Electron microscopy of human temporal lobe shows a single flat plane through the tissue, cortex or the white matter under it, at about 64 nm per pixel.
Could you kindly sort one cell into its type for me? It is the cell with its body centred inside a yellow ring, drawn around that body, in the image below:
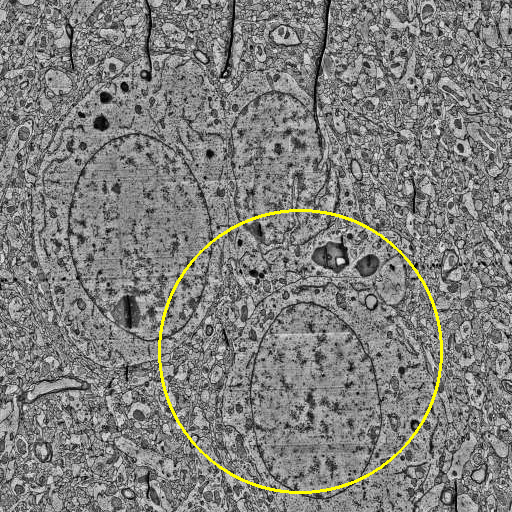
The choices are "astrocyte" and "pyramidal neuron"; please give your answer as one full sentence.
The cell whose body lies centred in the yellow ring here is a pyramidal neuron.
